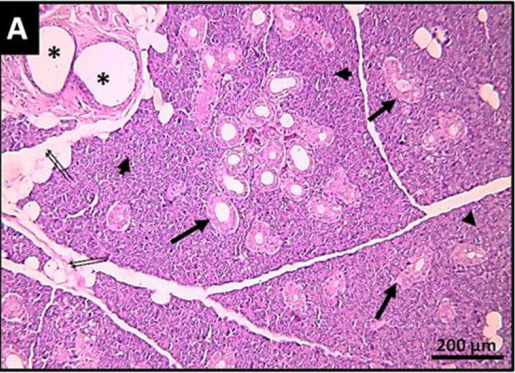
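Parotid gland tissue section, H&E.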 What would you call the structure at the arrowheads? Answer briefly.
serous acini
